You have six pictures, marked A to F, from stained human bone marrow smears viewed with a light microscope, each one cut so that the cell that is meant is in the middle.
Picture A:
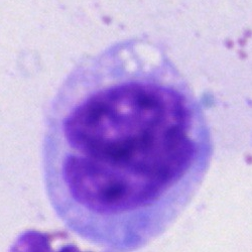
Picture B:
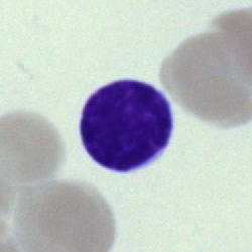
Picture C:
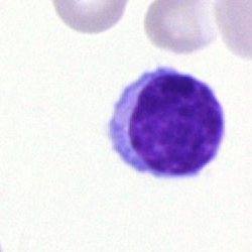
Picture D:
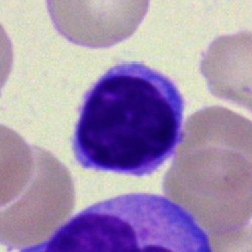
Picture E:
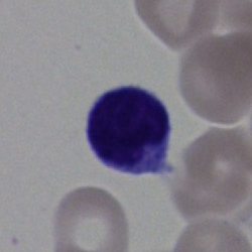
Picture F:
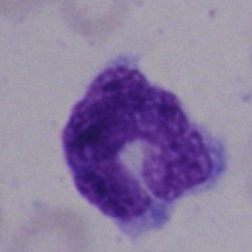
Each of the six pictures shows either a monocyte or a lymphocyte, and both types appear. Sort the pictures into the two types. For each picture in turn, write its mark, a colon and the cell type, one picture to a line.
A: monocyte
B: lymphocyte
C: lymphocyte
D: lymphocyte
E: lymphocyte
F: monocyte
